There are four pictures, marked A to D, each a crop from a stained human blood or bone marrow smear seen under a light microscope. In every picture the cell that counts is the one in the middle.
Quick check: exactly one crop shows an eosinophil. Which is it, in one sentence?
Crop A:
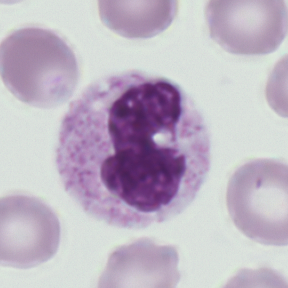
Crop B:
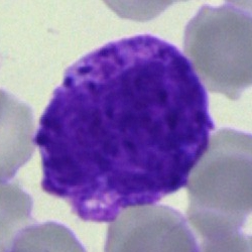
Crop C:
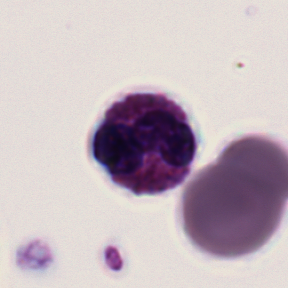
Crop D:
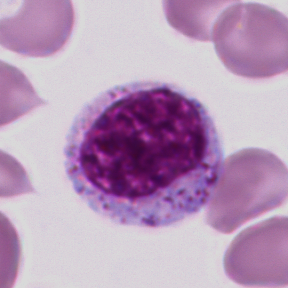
It is crop C, not any other, that shows an eosinophil.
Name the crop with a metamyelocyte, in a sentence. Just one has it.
Of the cells presented, the one in crop D is a metamyelocyte.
